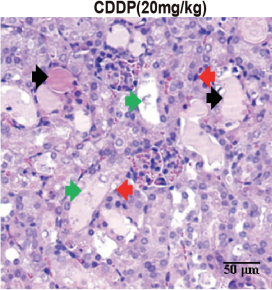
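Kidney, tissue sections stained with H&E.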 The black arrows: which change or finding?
Cast formation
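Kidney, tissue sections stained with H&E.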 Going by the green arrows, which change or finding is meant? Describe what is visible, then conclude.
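The green arrows point at tubules with pale, clear spaces in and around the lining. The lining cells there look flattened and pale compared with intact tubules. The answer: brush border loss, tubular degeneration, and vacuolization.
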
